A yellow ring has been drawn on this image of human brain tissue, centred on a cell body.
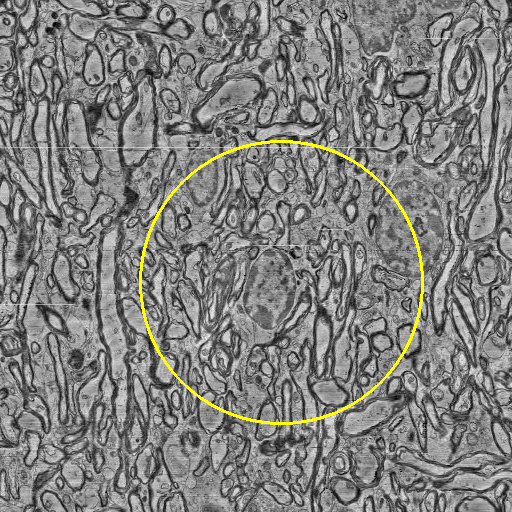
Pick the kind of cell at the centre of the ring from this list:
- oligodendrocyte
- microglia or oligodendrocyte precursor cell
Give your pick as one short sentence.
The centre of the ring holds a microglial cell or oligodendrocyte precursor cell.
